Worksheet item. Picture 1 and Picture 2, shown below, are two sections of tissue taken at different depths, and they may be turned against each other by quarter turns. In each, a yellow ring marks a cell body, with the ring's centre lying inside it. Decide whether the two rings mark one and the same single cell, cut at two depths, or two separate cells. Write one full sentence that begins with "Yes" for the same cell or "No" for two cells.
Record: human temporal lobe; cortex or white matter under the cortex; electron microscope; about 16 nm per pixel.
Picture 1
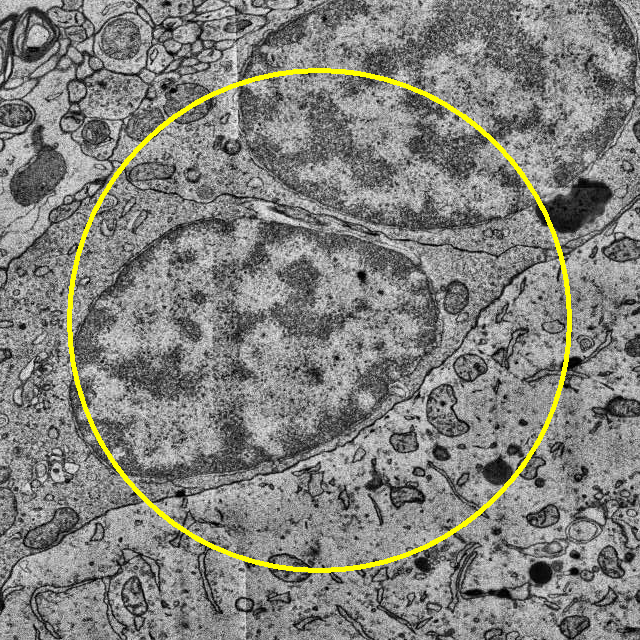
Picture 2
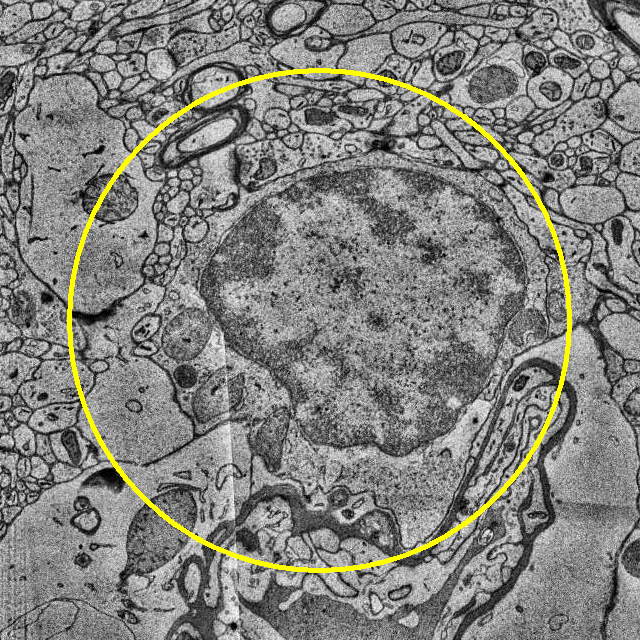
No, each ring encloses a different cell in the tissue.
